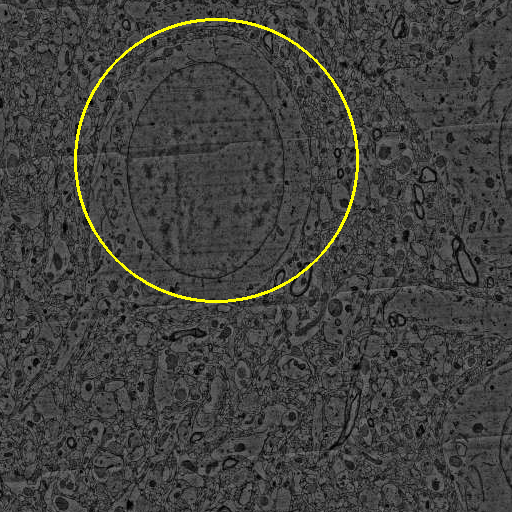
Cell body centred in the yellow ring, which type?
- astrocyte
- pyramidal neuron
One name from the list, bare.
pyramidal neuron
